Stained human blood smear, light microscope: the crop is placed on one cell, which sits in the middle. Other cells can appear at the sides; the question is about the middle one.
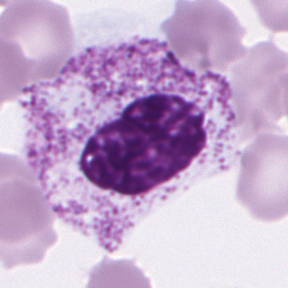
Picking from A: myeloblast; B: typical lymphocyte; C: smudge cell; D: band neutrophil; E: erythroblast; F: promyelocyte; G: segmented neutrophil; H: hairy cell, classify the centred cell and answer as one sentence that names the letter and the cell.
Here the right option is D, as the cell in the middle is a band neutrophil.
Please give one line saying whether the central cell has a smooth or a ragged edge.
Along its border, the cell is uneven, whether by ragged stretches or by projections.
